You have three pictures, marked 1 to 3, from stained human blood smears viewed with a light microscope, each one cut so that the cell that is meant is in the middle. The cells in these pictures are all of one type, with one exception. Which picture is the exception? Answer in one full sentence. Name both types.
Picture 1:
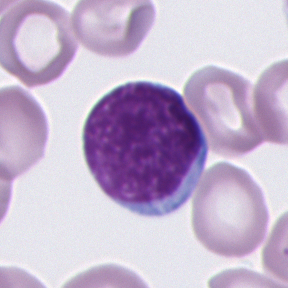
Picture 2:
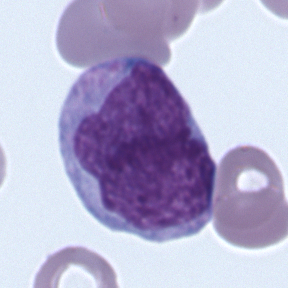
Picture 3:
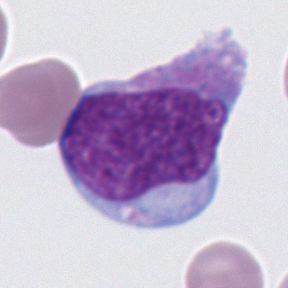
Unlike the rest, which show atypical promyelocytes, picture 1 shows a myeloblast.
